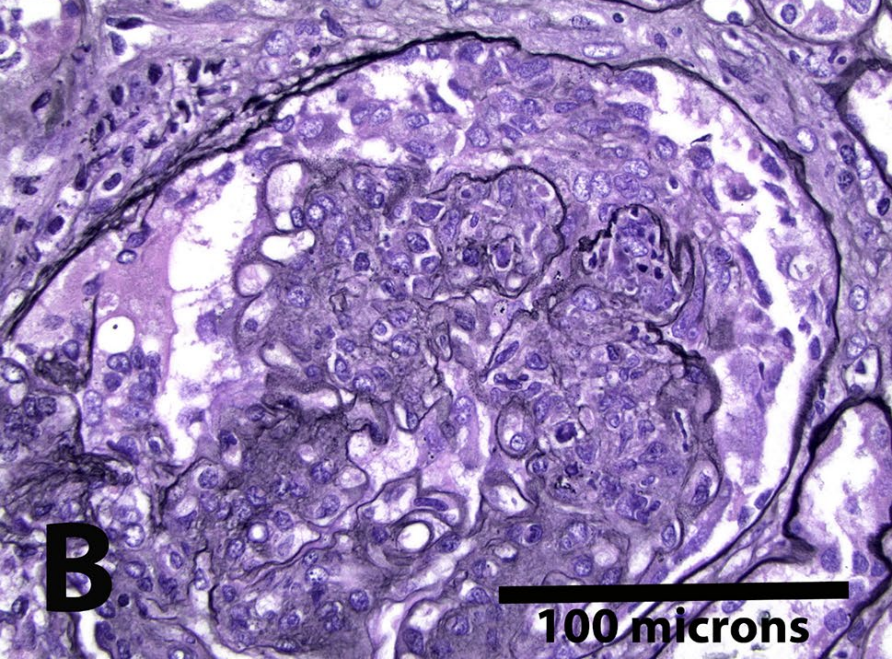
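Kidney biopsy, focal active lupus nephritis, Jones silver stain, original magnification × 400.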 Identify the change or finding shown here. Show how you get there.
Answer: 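The glomerular tuft is packed with nuclei. Few open capillary loops are left within the tuft.
Hence: florid glomerular proliferation.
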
